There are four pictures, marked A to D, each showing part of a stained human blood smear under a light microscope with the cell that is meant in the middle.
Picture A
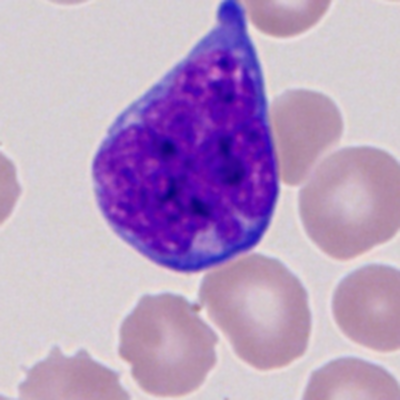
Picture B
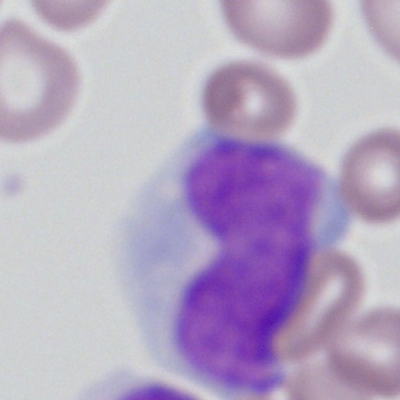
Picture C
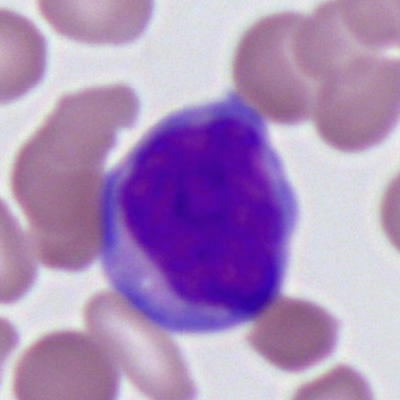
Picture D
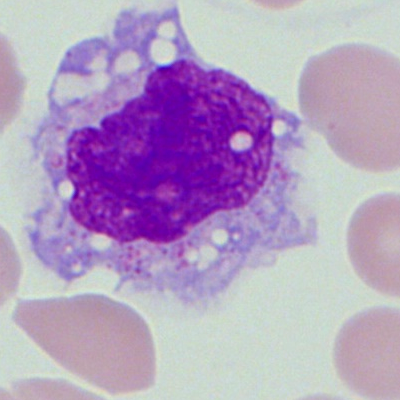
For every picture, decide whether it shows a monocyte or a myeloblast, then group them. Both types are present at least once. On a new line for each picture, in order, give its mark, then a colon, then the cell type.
A: myeloblast
B: monocyte
C: myeloblast
D: monocyte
